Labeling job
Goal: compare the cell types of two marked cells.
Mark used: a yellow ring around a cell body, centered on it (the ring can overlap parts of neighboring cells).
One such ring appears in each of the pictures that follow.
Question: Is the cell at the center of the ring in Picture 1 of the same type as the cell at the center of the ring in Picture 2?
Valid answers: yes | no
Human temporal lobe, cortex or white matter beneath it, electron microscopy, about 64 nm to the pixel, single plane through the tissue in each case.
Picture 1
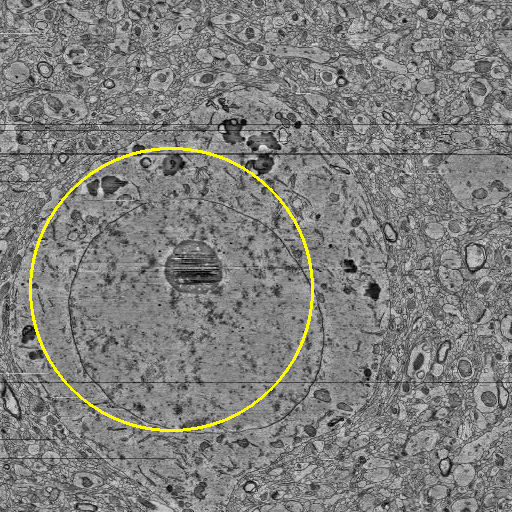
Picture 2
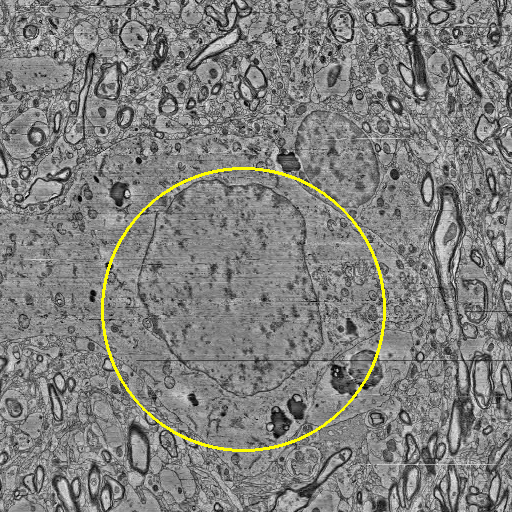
yes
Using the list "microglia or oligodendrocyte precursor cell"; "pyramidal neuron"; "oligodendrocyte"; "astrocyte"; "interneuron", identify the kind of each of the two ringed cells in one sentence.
The cell at the ring centre is a pyramidal neuron in both pictures.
